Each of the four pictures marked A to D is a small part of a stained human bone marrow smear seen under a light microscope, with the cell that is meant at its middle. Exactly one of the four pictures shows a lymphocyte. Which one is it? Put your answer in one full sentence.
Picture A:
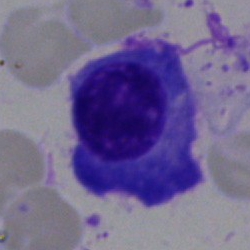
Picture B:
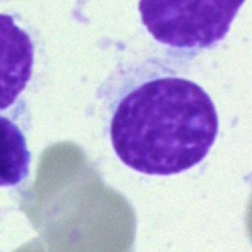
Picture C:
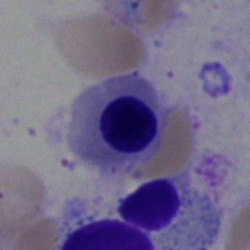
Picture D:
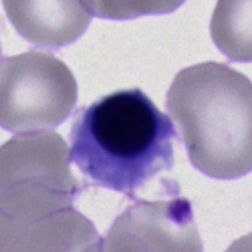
The lymphocyte is the one in picture B.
